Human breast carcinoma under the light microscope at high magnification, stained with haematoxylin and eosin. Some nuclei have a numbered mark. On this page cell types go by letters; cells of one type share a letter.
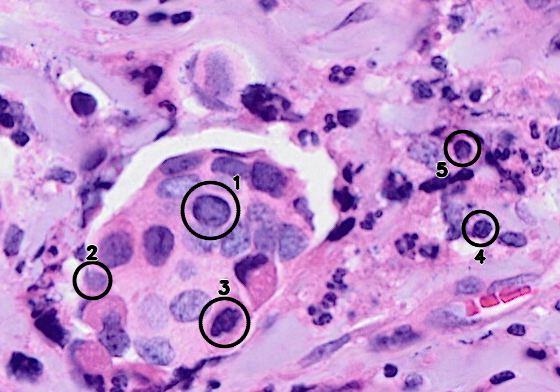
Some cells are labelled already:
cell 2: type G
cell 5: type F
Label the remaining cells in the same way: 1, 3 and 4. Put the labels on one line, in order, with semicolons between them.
type G; type G; type F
